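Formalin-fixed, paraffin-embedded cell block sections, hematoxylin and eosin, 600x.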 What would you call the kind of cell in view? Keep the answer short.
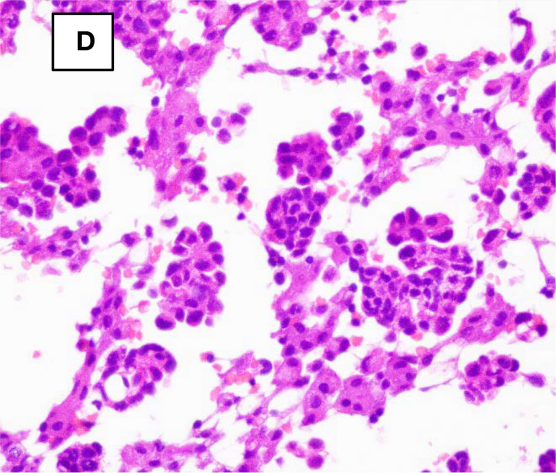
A: clusters of tumor cells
